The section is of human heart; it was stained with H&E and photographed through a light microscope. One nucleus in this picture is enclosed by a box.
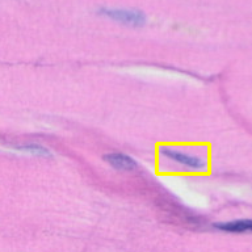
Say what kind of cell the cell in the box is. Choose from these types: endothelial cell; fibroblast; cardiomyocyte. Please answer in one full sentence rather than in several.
Right, so the cell in the box is a fibroblast, to answer that.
